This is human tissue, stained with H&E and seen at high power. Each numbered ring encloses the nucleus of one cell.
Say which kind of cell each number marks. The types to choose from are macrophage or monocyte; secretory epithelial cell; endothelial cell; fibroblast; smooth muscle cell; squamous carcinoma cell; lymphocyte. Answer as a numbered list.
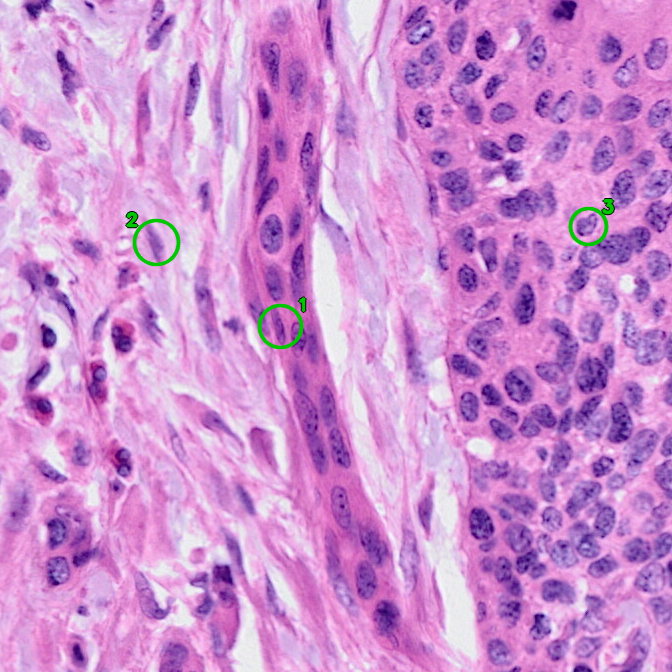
1. squamous carcinoma cell
2. fibroblast
3. squamous carcinoma cell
